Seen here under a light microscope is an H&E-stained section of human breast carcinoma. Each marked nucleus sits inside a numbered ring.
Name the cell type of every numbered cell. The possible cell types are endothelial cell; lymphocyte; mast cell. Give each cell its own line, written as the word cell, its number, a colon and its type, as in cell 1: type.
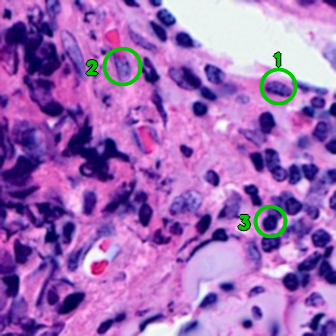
cell 1: mast cell
cell 2: endothelial cell
cell 3: lymphocyte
